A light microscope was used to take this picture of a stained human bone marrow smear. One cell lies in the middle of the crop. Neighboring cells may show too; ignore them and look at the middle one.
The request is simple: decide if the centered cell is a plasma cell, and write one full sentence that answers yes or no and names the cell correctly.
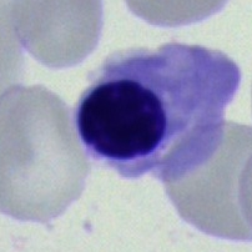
No, the cell at the centre is an erythroblast, which rules out a plasma cell.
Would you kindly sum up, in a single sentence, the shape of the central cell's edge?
A ragged or projecting edge replaces the smooth outline in this cell.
